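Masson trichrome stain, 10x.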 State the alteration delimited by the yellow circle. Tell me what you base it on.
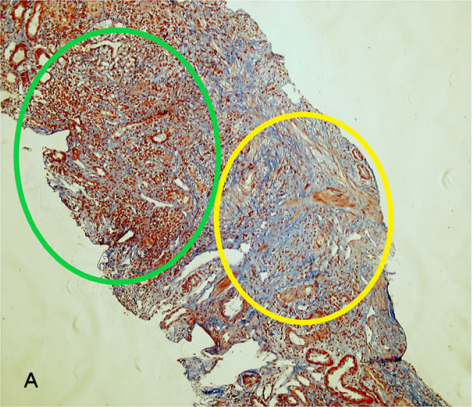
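Fibrotic involvement. Blue-staining fibres predominate inside the circle. Cells inside the circle are sparser and spindle-shaped compared with the neighbouring area.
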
